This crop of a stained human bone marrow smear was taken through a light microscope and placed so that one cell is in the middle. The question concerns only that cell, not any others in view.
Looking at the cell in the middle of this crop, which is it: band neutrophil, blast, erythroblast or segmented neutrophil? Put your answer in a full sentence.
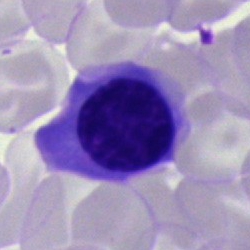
The cell shown in the center of this light-microscope crop is an erythroblast.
